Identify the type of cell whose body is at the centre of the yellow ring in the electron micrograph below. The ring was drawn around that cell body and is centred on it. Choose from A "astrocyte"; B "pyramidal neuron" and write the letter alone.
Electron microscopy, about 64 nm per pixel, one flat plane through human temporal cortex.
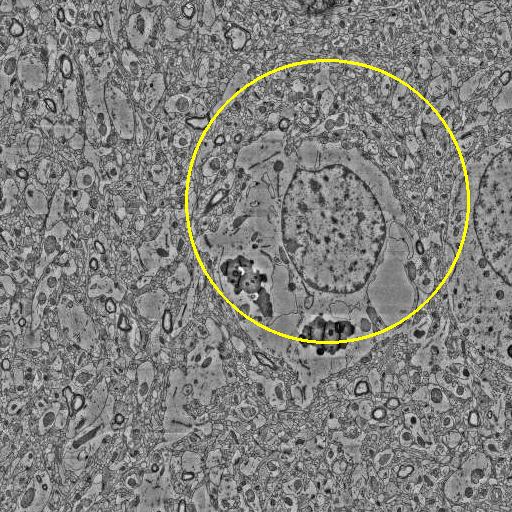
A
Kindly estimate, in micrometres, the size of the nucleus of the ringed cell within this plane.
The nucleus measures about 8 by 7 micrometres in this plane.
